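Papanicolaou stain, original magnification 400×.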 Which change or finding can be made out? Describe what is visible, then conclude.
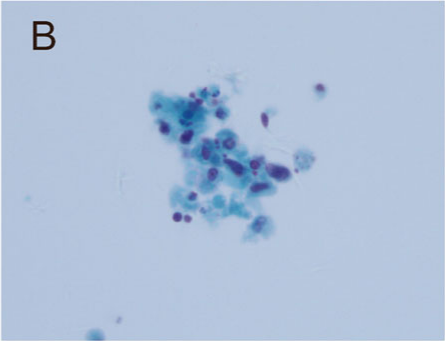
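Many nuclei stain dark purple. Nuclei vary in shape, some elongated or irregular.
Hyperchromatic nuclei.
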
